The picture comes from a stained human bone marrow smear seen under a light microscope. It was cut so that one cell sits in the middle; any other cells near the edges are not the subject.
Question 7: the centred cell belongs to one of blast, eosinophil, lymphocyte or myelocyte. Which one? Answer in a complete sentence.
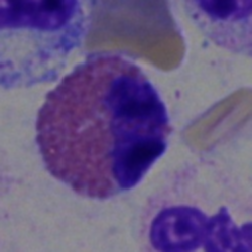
Framed in the middle of the crop is an eosinophil.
